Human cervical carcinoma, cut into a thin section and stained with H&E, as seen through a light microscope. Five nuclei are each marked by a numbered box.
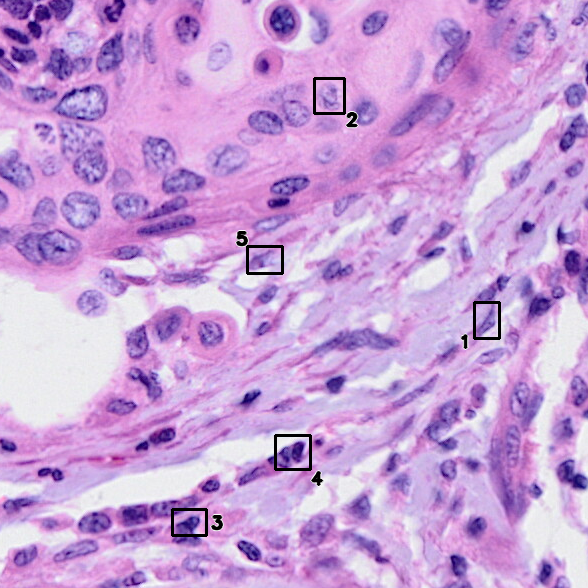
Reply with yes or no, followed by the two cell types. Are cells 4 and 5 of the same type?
No, cell 4 is a lymphocyte, and as for cell 5, it is a fibroblast.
